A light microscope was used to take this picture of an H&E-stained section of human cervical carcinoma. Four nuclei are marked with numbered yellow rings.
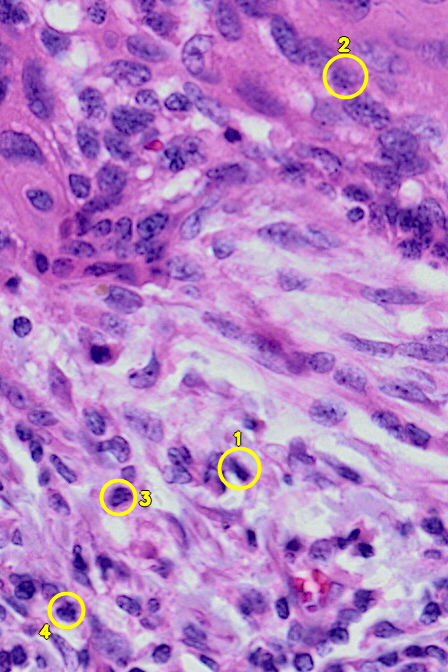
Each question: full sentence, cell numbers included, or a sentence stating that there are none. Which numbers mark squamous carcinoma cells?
Of the numbered nuclei, only the one labelled 2 belongs to a squamous carcinoma cell.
